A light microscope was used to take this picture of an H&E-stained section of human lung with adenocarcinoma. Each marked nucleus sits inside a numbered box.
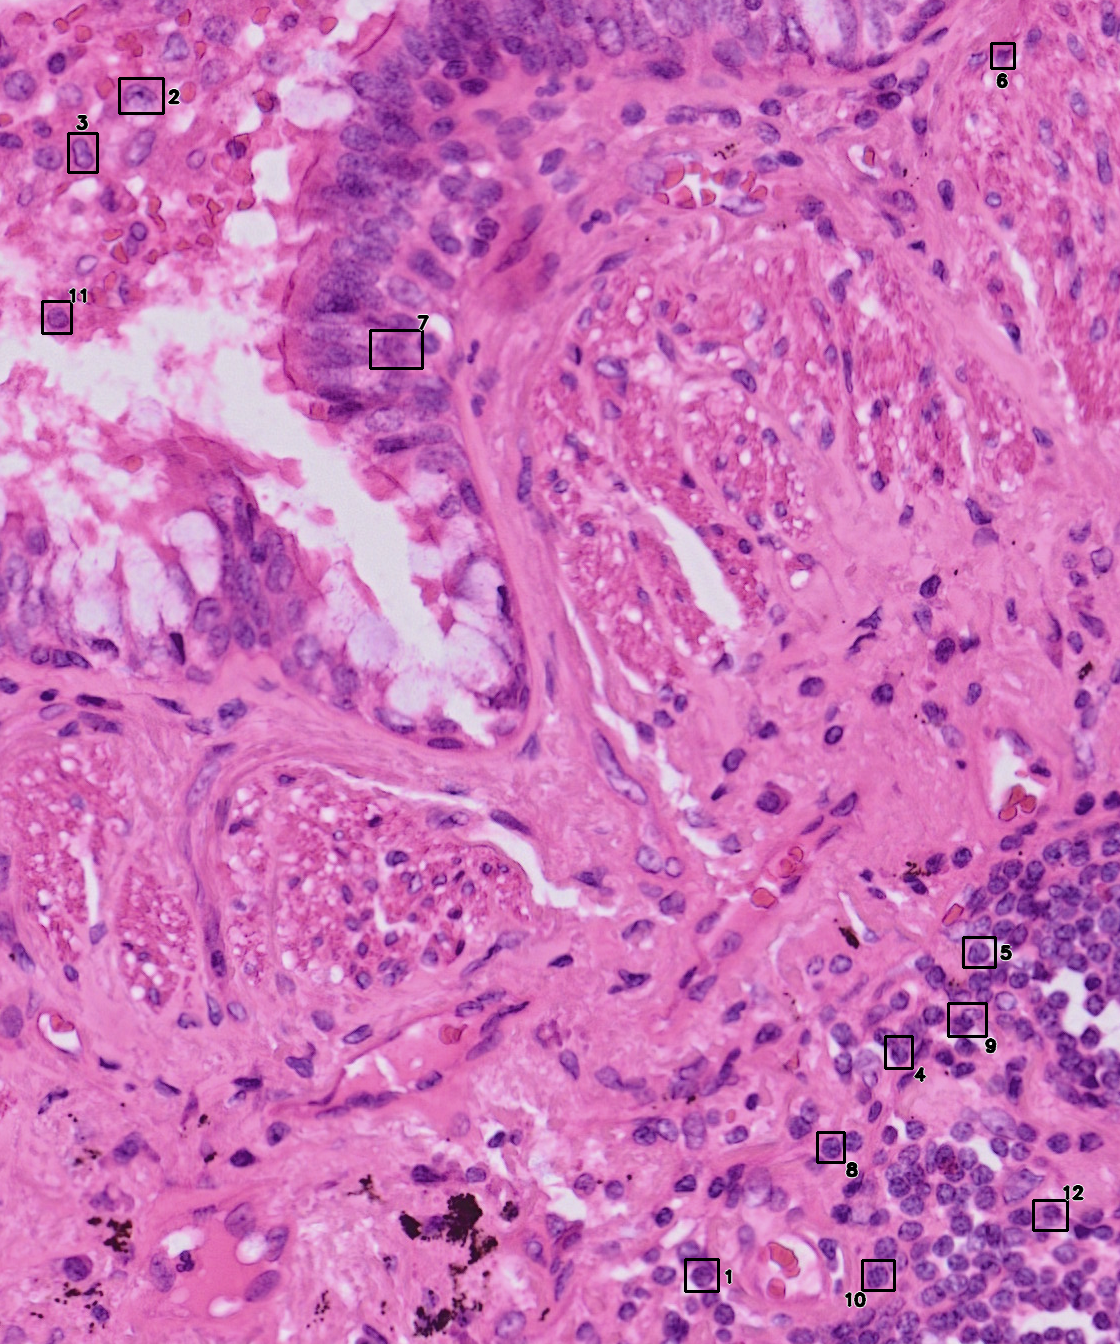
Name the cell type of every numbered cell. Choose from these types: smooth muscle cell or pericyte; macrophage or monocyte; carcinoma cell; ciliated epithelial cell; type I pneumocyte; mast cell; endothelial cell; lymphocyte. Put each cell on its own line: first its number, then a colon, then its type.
1: lymphocyte
2: macrophage or monocyte
3: macrophage or monocyte
4: lymphocyte
5: lymphocyte
6: smooth muscle cell or pericyte
7: ciliated epithelial cell
8: lymphocyte
9: lymphocyte
10: lymphocyte
11: macrophage or monocyte
12: lymphocyte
